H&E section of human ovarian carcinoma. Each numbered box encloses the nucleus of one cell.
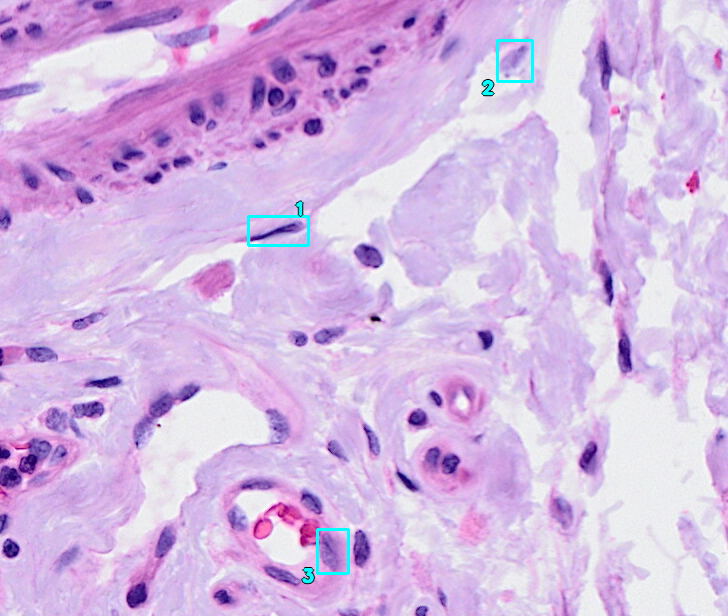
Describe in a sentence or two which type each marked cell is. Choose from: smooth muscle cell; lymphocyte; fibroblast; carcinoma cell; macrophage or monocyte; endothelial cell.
Cell 1 is a fibroblast, cell 2 is a fibroblast and cell 3 is an endothelial cell.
